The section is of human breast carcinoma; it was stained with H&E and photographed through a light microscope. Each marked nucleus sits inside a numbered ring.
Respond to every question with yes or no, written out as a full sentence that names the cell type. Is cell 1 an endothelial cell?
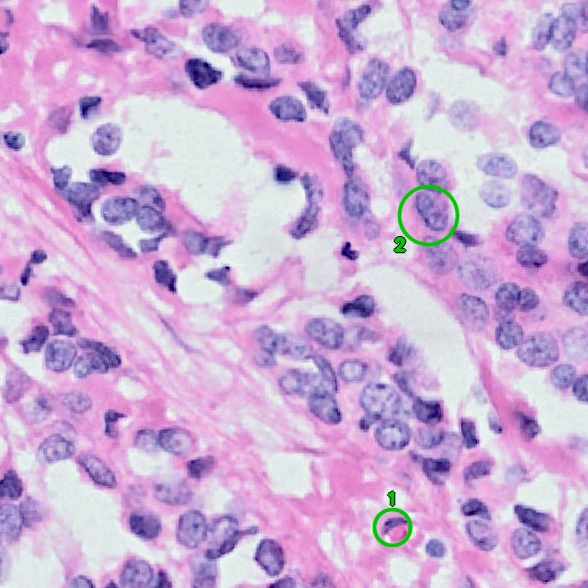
Yes, the number 1 belongs to an endothelial cell.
